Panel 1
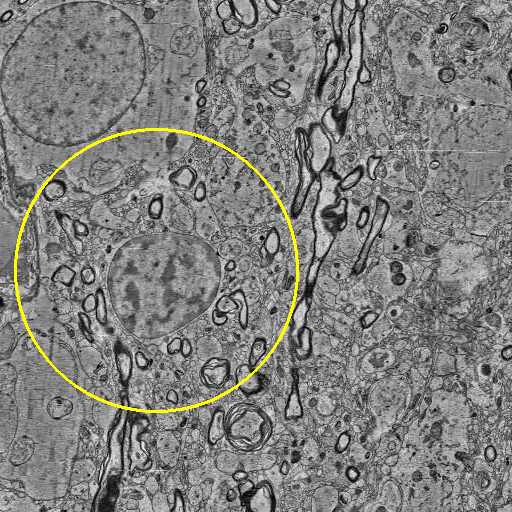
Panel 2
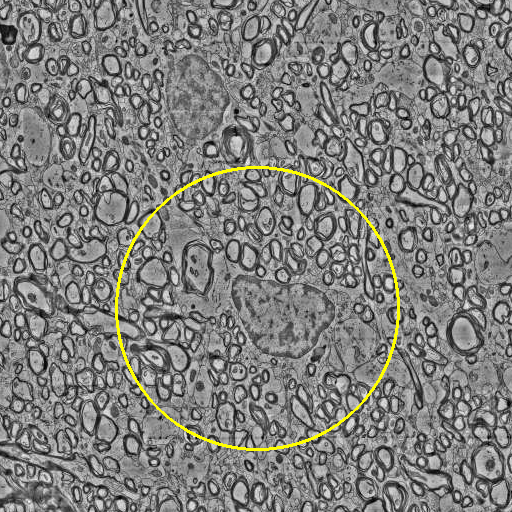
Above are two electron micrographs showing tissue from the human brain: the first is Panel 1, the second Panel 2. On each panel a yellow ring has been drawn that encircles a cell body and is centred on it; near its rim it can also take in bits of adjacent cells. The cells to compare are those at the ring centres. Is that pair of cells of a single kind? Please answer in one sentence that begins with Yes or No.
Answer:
Yes, the ring-centred cells of Panel 1 and Panel 2 belong to one kind.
